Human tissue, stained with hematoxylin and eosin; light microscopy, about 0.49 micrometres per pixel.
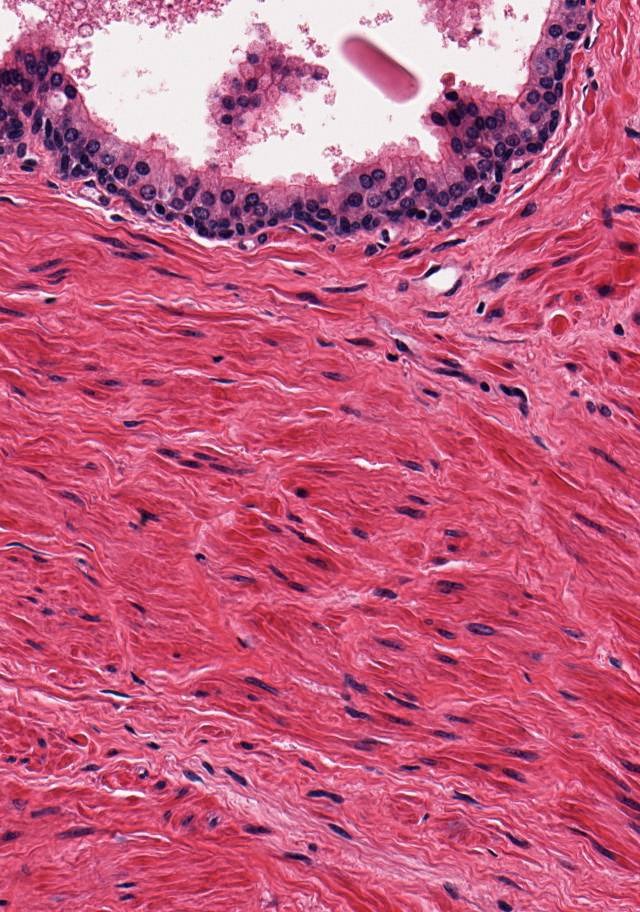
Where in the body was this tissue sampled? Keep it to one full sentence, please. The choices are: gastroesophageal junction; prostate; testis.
A piece of the prostate was sampled for this section.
